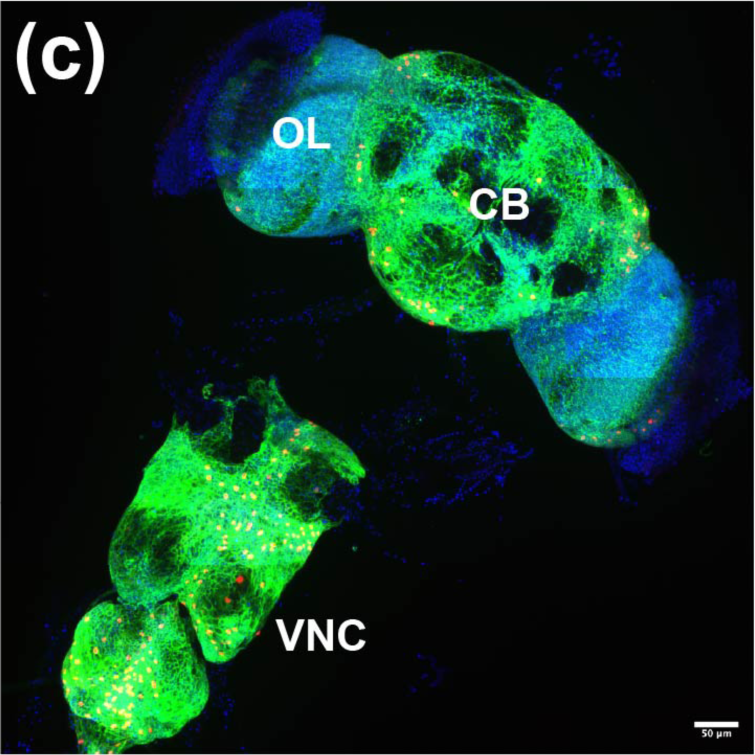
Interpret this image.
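In the central brain a dense green membranous meshwork fills the rind of cell bodies, forming a honeycomb of small compartments around individual somata, while several large dark rounded areas, the neuropils, are left free of it. The optic lobes appear mostly pale blue-cyan with little of the mesh. The ventral nerve cord shows the same green meshwork with scattered small red nuclei and darker neuropil islands between segments.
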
